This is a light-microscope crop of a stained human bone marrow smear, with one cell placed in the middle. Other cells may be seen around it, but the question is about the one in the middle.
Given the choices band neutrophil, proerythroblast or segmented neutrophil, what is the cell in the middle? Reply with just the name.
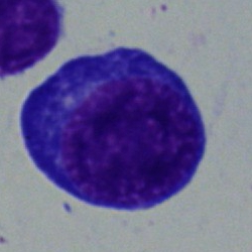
proerythroblast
